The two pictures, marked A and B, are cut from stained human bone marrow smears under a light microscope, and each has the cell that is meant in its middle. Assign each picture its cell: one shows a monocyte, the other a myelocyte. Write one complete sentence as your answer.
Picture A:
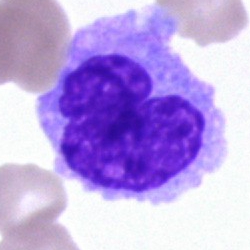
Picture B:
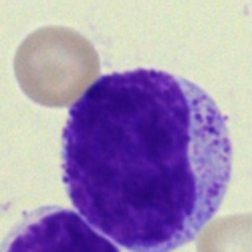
Picture A is of a monocyte, and picture B is of a myelocyte.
